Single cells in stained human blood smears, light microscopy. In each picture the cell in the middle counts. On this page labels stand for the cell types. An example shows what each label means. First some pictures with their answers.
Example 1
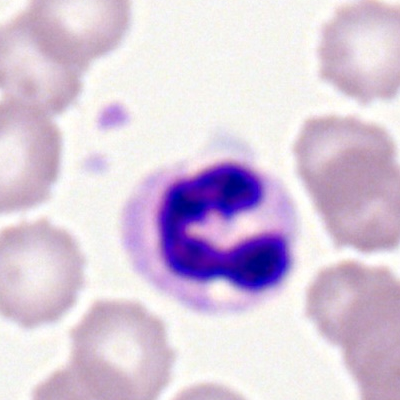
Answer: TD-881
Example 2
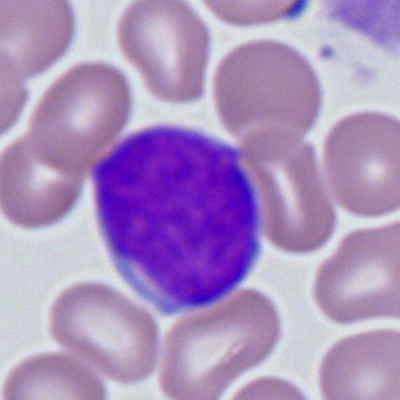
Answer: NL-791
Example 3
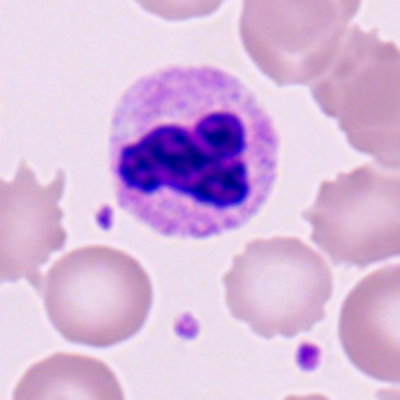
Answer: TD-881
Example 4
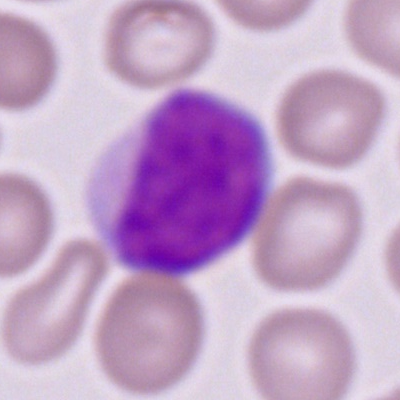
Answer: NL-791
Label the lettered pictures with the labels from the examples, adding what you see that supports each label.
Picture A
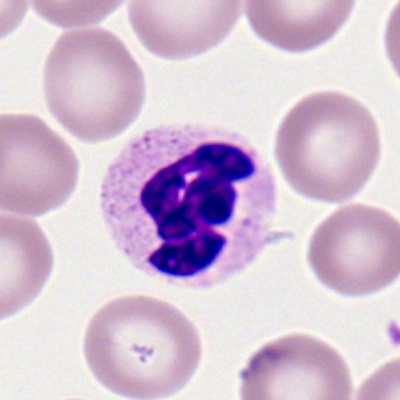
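TD-881. The cytoplasm is pale pink.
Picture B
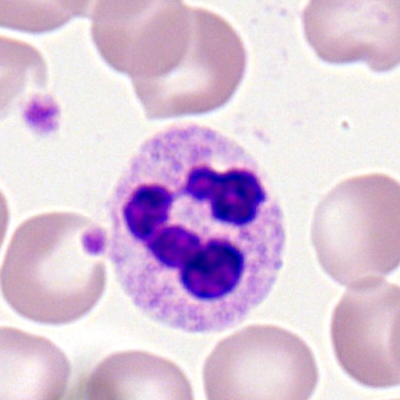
TD-881. The cytoplasm is pale pinkish-lilac.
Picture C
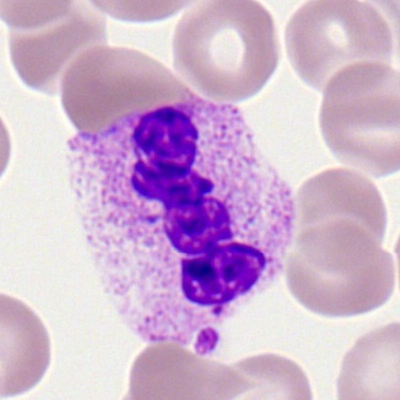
TD-881. The cytoplasm is plentiful and pale pinkish-lilac.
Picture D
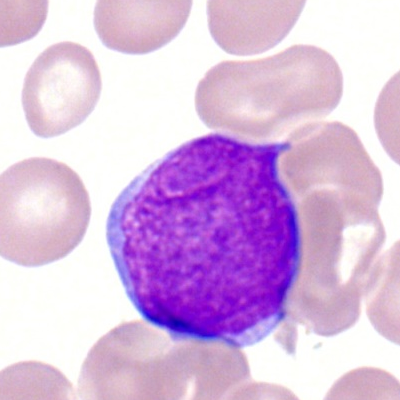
NL-791. The nucleus fills most of the cell.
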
